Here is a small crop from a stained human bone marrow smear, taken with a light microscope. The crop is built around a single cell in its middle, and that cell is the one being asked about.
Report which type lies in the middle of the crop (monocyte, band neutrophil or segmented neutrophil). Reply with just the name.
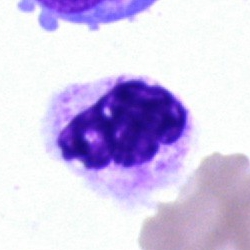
segmented neutrophil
